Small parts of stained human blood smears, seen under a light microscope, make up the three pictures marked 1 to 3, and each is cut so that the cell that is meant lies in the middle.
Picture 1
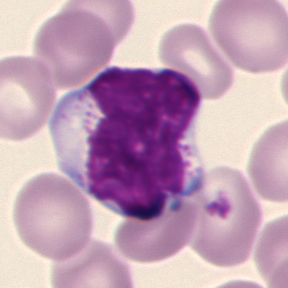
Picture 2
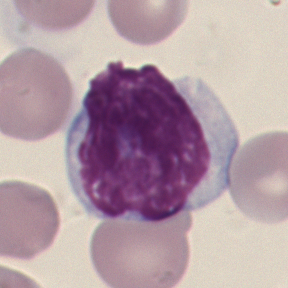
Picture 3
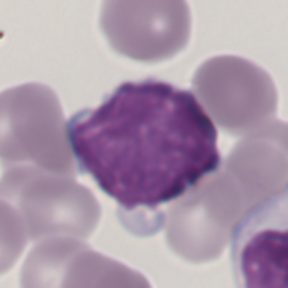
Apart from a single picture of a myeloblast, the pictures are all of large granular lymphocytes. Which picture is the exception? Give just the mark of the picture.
2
